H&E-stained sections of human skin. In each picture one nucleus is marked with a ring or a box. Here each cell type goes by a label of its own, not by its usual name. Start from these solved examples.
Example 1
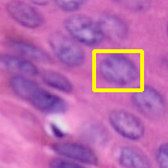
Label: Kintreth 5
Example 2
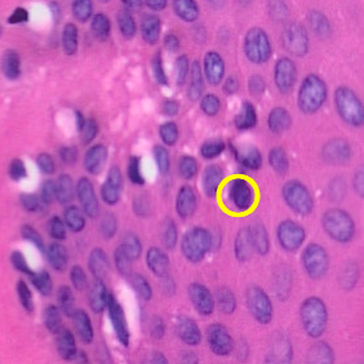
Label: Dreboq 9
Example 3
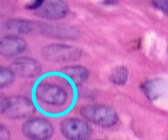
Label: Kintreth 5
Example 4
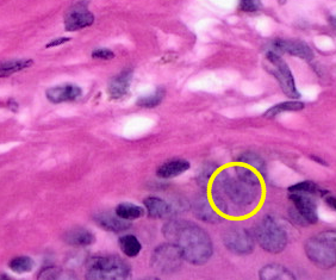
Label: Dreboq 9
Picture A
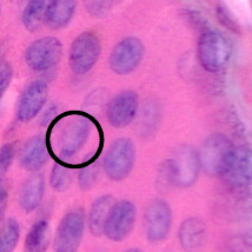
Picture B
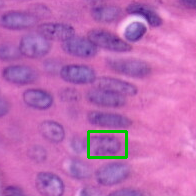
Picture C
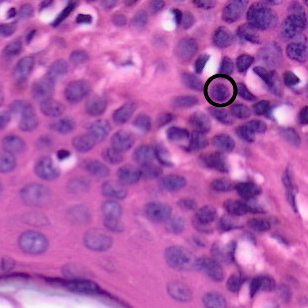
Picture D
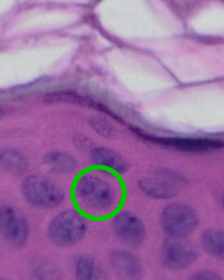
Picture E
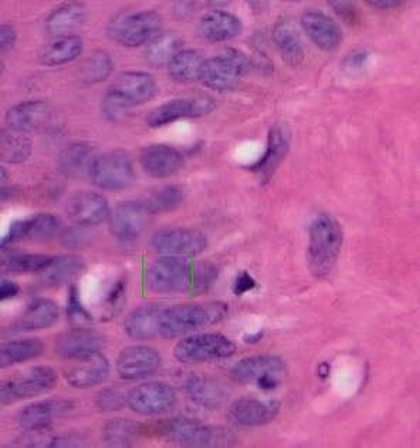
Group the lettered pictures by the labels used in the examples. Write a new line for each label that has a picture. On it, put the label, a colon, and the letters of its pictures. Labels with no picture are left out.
Kintreth 5: A, D
Dreboq 9: B, C, E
